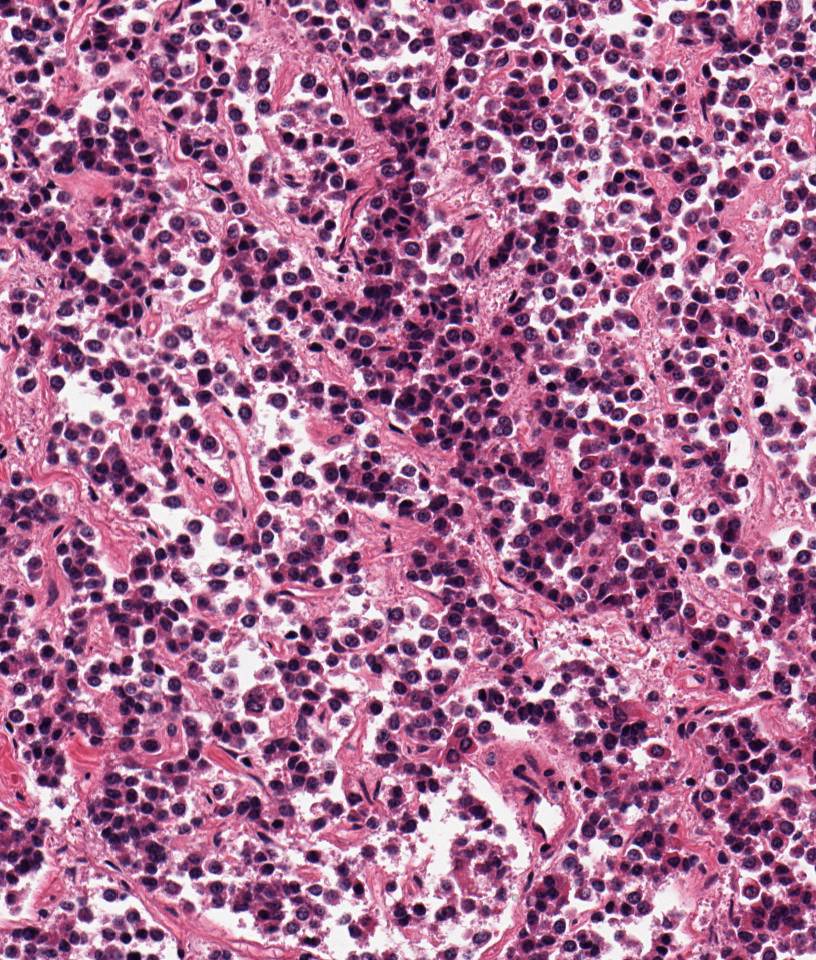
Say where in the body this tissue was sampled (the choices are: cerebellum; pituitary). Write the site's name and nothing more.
pituitary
